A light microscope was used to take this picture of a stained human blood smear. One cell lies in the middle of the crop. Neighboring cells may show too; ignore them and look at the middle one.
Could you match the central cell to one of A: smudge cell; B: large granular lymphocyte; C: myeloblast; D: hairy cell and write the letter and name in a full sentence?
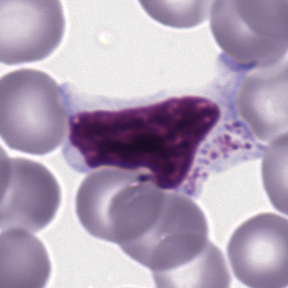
In the centre of the crop there is a large granular lymphocyte, making option B correct.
